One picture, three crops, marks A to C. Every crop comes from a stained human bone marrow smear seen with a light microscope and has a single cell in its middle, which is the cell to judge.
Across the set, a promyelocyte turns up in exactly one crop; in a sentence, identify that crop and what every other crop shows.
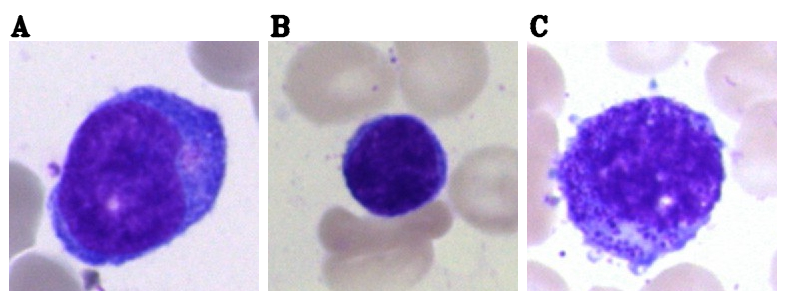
Crop C shows a promyelocyte, and as for the other crops, crop A is a blast and crop B is a lymphocyte.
